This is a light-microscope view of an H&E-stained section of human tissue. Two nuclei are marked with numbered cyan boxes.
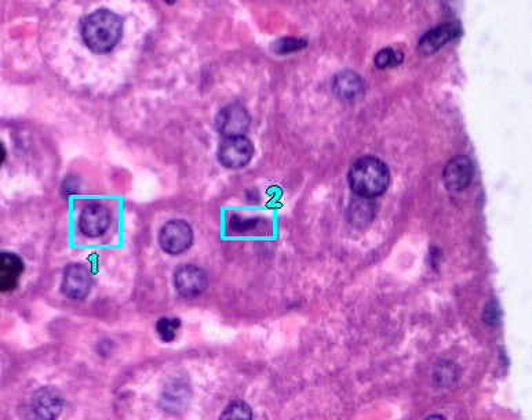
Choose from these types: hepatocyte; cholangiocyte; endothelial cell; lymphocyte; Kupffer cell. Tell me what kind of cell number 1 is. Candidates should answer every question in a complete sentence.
Identified as a hepatocyte is the cell bearing the number 1.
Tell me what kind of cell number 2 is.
The expected answer is that cell 2 is an endothelial cell.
